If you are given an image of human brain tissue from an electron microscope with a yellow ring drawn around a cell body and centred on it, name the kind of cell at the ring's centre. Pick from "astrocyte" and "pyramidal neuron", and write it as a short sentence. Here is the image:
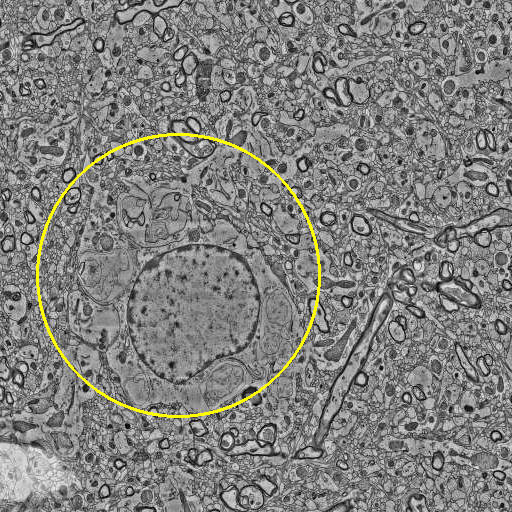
The cell at the ring's centre is an astrocyte.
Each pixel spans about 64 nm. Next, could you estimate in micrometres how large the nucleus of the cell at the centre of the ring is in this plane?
In this plane, approximately 9 micrometres across.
